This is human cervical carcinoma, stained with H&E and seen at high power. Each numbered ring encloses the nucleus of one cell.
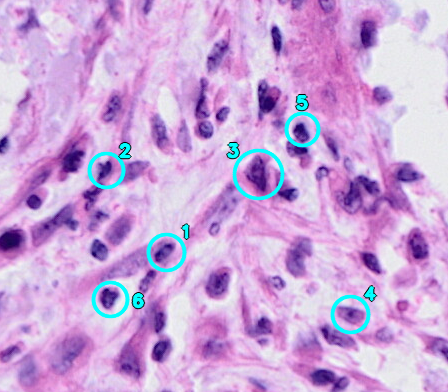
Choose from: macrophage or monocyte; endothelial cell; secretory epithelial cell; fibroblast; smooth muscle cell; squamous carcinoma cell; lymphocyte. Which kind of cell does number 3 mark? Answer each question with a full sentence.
Among the marked cells, number 3 is a macrophage or monocyte.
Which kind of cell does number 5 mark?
The cell that is numbered 5 is a lymphocyte.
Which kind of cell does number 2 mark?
The numbered cell 2 is identified here as a lymphocyte.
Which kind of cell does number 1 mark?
The cell that is numbered 1 is a lymphocyte.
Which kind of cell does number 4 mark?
The marked cell with the number 4 is recognised as a fibroblast.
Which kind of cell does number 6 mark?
The mark numbered 6 indicates the nucleus of a lymphocyte.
